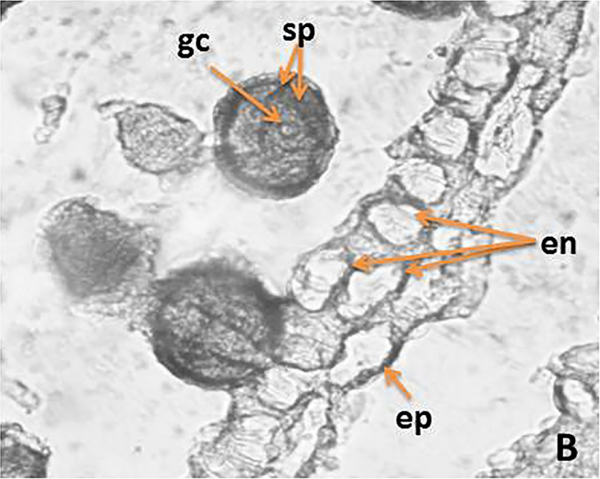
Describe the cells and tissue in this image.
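Mature pollen grains next to the anther wall. Several dark, rounded grains lie to the left; one shows a dense, granular interior with small inner bodies near its center, suggesting more than one cell within the grain. A paler, collapsed grain sits at upper left. To the right the anther wall runs diagonally: a thin outer layer of flattened cells and, inside it, more than one row of larger, rectangular cells with clear walls.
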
